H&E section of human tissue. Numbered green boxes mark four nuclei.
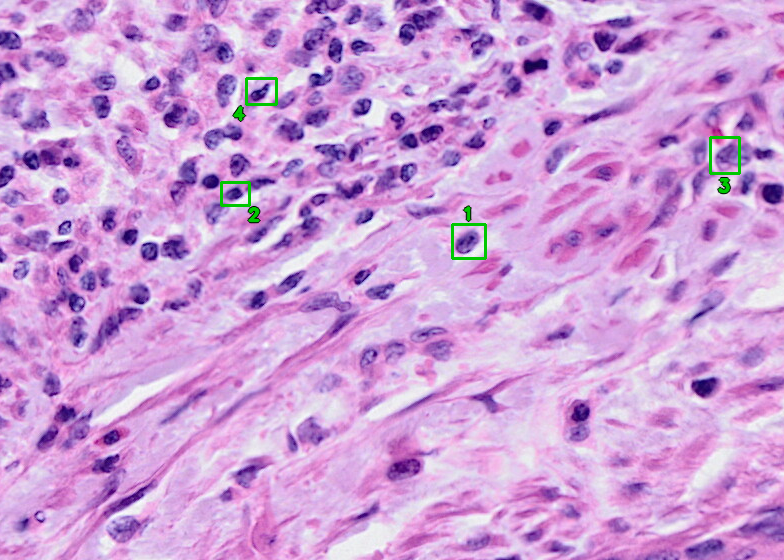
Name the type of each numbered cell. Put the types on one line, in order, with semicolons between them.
lymphocyte; lymphocyte; endothelial cell; lymphocyte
